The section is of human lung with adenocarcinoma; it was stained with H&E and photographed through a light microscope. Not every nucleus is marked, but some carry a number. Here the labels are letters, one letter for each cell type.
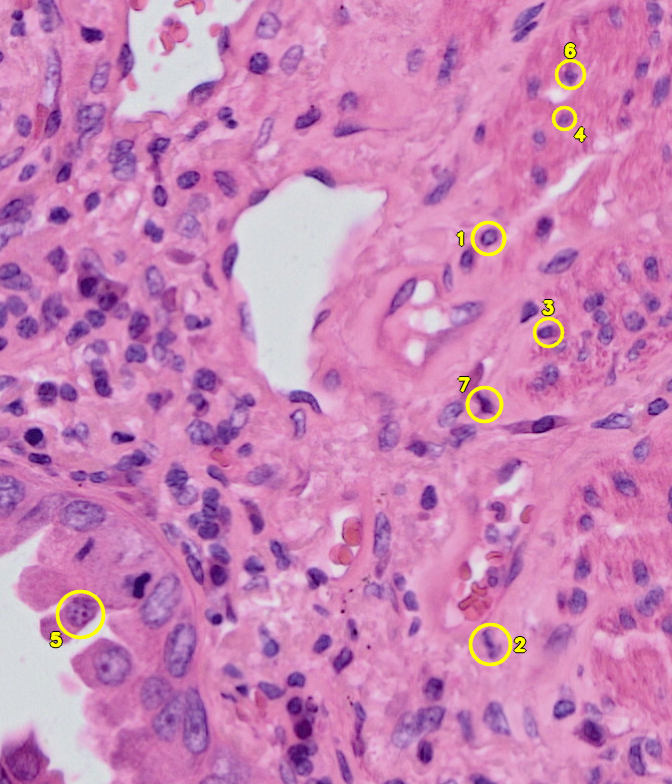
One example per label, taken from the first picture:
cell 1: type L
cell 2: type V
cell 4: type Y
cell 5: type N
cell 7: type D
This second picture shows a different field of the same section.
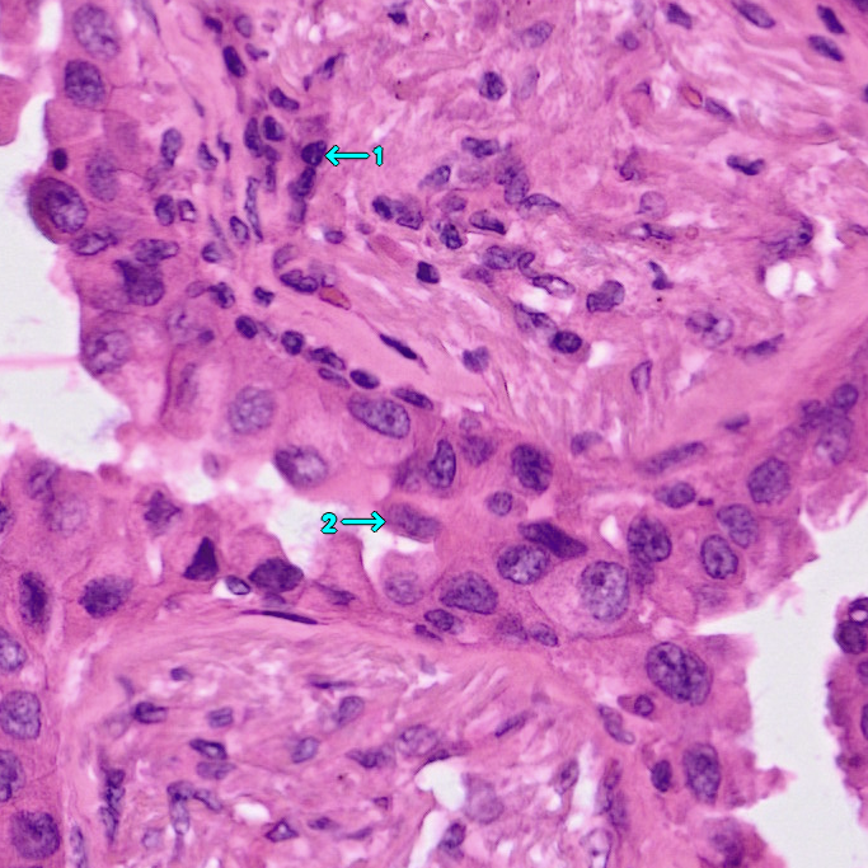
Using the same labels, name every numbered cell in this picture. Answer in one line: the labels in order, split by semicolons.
type D; type N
